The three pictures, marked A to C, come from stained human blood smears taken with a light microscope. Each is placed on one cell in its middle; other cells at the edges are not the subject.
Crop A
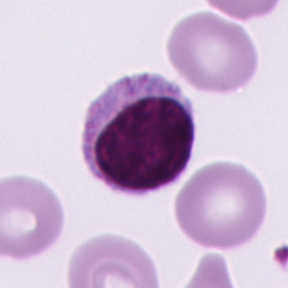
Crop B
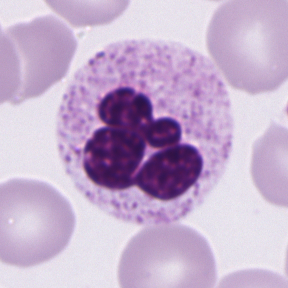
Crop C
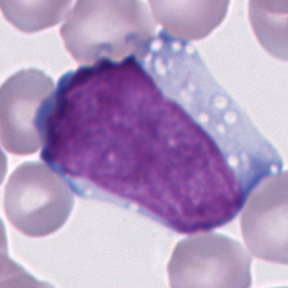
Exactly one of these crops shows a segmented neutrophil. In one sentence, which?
Crop B is the correct crop, and it shows a segmented neutrophil.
